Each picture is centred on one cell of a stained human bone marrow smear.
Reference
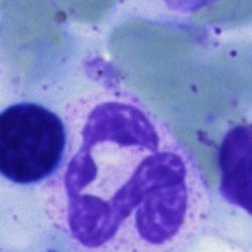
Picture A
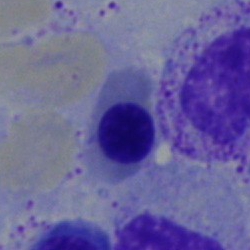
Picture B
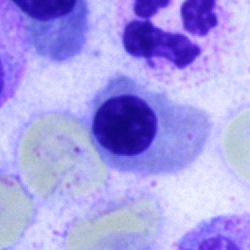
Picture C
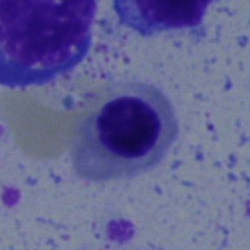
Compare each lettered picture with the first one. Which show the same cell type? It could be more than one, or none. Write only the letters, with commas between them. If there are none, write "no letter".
no letter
